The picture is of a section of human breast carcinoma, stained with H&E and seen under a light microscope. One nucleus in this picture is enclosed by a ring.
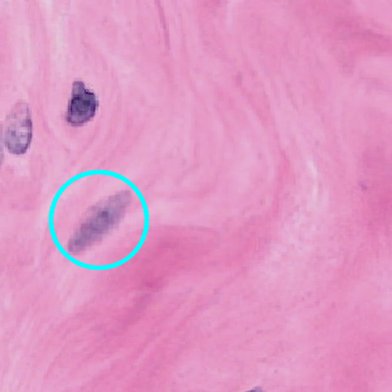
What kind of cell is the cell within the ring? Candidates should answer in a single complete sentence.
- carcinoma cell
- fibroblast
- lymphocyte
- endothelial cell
The cell type of the cell within the ring is that of a fibroblast.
